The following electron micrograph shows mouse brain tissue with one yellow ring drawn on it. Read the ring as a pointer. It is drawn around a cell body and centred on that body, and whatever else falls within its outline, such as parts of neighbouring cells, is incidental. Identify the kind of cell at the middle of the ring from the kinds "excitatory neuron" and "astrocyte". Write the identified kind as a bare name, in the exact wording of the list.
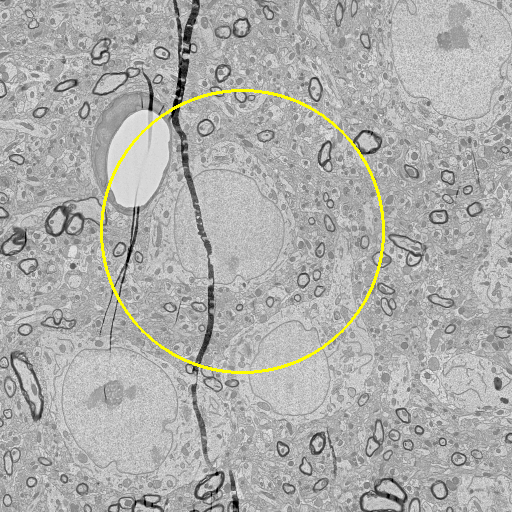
excitatory neuron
